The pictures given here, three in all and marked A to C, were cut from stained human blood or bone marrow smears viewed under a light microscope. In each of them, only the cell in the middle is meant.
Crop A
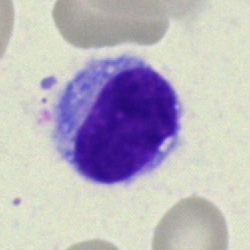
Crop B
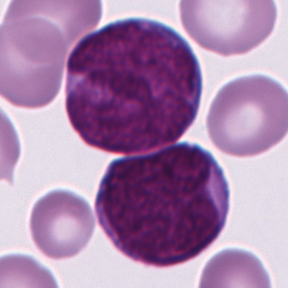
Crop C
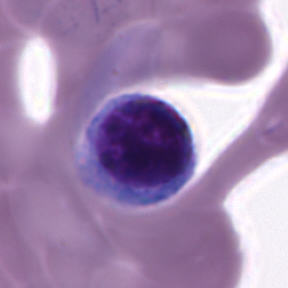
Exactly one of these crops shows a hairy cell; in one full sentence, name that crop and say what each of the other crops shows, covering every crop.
The central cell in crop A is a hairy cell, whereas crop B is a blast and crop C is a plasma cell.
